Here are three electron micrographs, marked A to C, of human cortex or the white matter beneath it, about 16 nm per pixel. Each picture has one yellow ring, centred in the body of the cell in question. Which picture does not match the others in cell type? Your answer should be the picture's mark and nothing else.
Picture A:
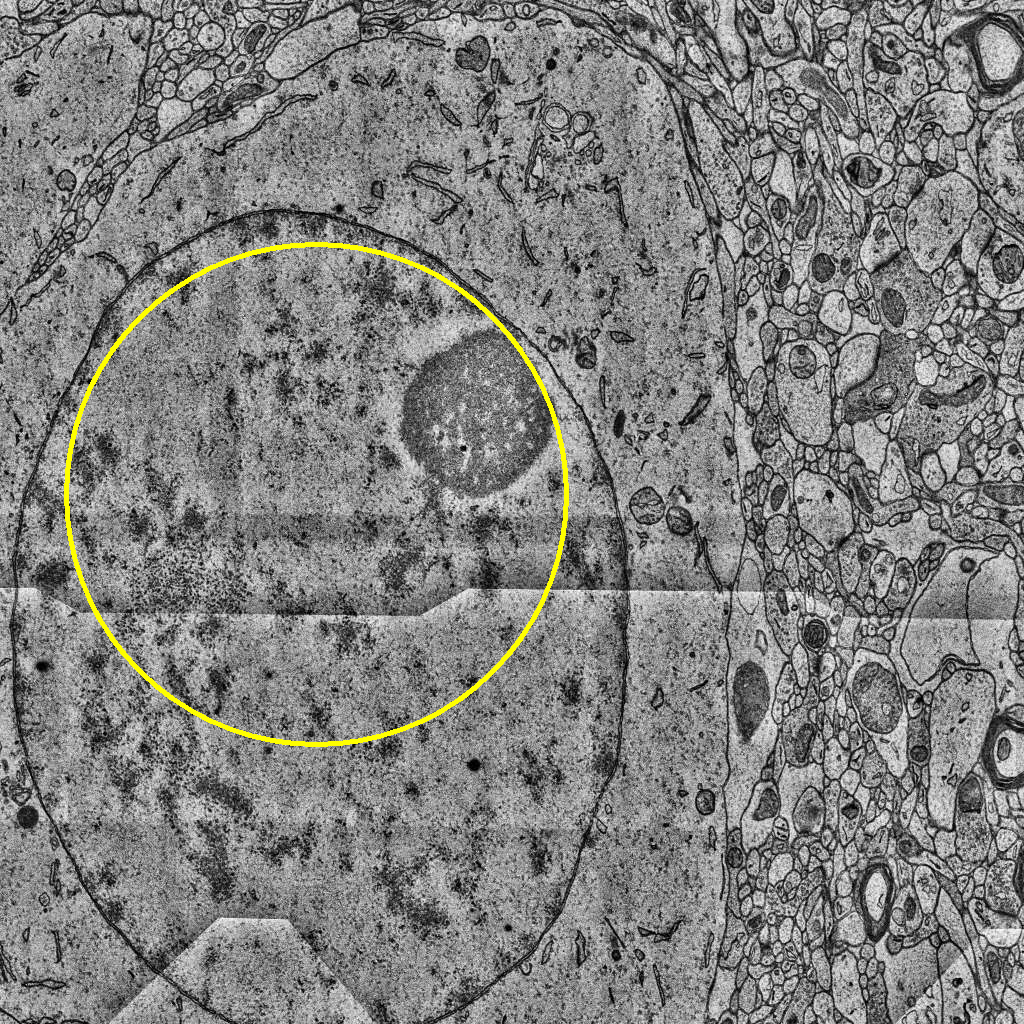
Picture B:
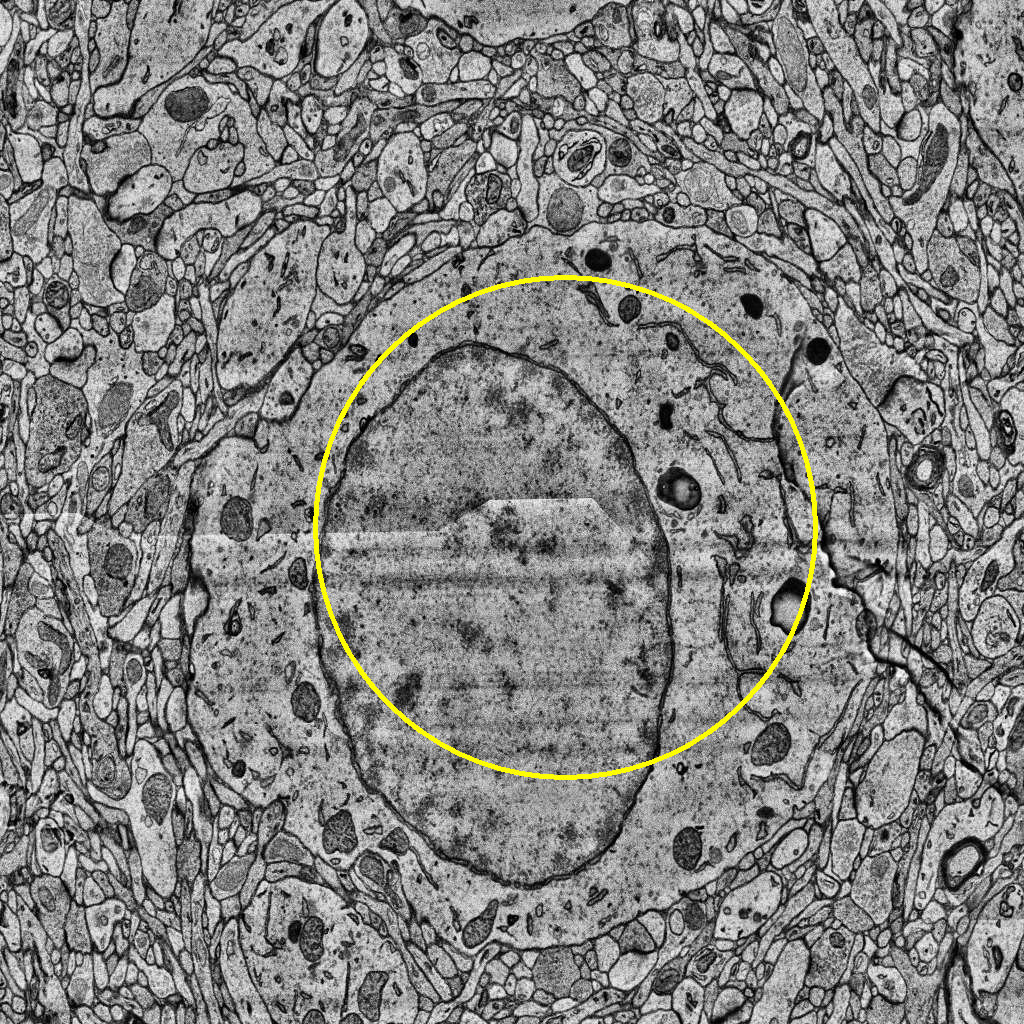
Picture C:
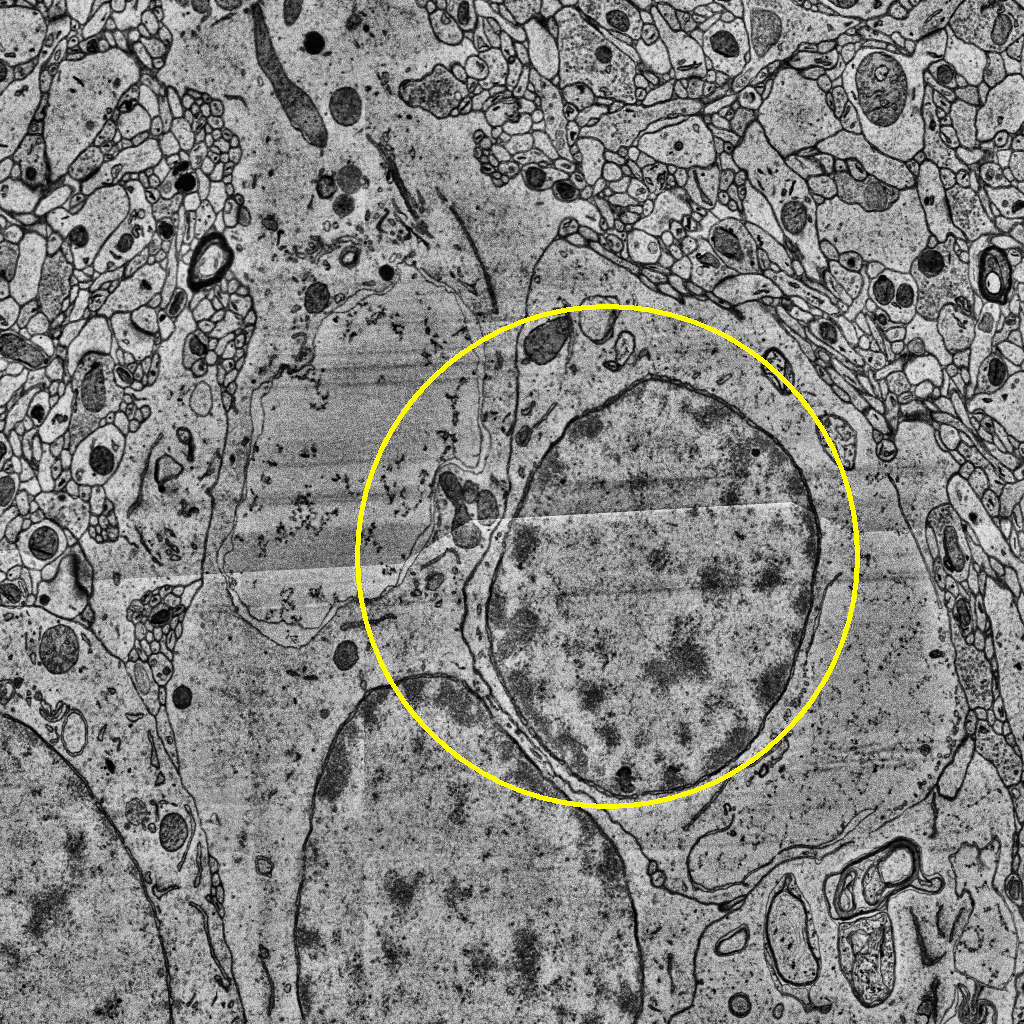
C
